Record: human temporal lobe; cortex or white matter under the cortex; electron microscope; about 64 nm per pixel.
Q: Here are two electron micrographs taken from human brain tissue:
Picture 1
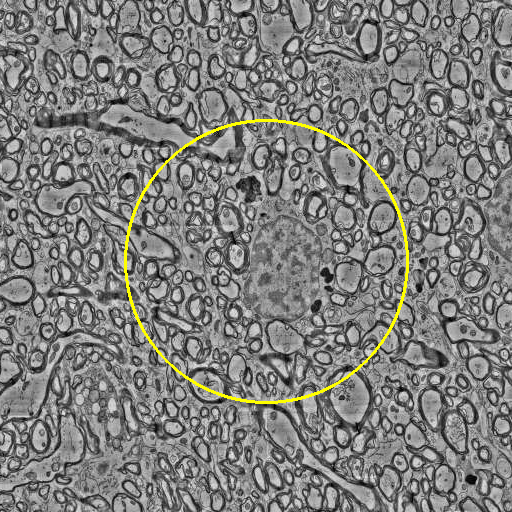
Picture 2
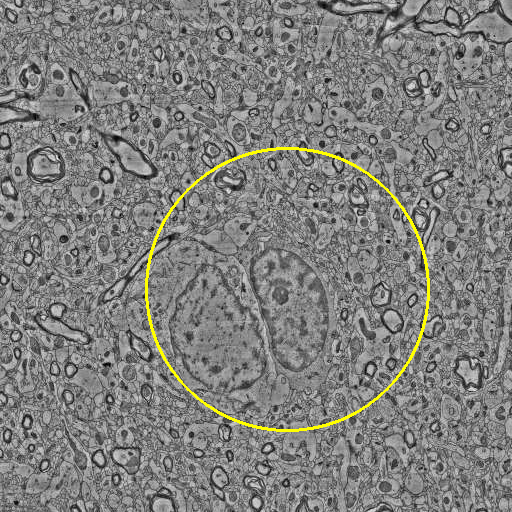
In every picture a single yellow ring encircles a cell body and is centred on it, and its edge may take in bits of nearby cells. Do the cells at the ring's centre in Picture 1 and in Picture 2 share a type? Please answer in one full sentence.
Yes, the cells at the ring's centre in Picture 1 and Picture 2 share a type.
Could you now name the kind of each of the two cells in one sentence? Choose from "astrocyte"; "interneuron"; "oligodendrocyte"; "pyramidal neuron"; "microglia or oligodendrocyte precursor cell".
Each of the two rings surrounds an oligodendrocyte.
